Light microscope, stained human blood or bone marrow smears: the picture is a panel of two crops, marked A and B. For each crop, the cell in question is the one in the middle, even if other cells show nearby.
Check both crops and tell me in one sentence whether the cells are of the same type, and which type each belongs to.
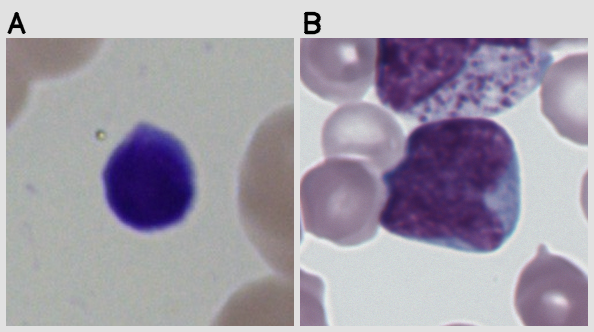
No, at the centre of crop A is a lymphocyte, and at the centre of crop B is a blast.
